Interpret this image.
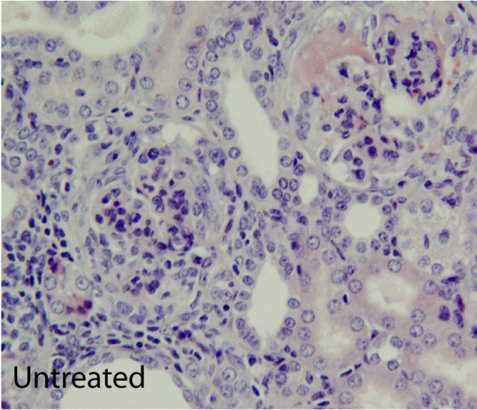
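This is kidney cortex stained with haematoxylin and eosin, showing glomeruli among tubules. The glomerular tufts are large and crowded with many dark purple nuclei, leaving little free space around the tuft. Dense clusters of small, dark, round nuclei lie around a glomerulus and in the nearby interstitium. The surrounding tubules are lined by cuboidal epithelial cells with round nuclei and pink cytoplasm, and some lumens are wide and pale.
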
